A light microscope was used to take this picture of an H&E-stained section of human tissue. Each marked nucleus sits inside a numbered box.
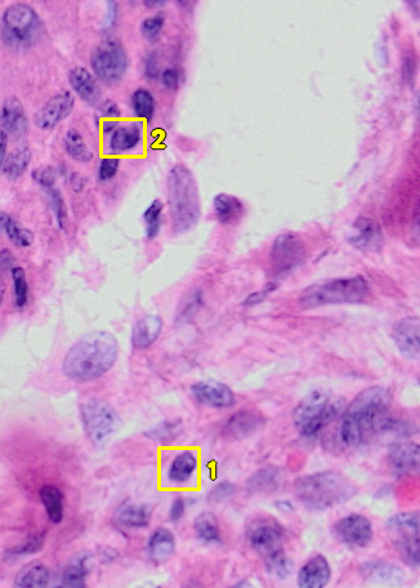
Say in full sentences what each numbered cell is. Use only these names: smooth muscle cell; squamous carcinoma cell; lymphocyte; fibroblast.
Cell 1 is a lymphocyte and cell 2 is a squamous carcinoma cell.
